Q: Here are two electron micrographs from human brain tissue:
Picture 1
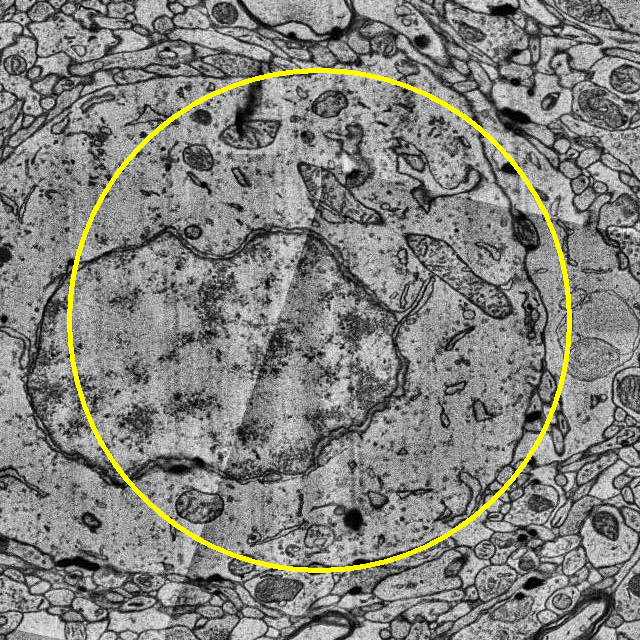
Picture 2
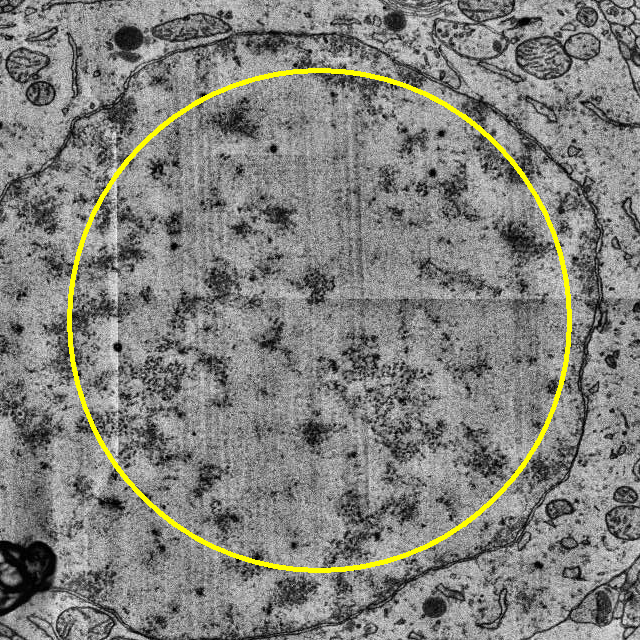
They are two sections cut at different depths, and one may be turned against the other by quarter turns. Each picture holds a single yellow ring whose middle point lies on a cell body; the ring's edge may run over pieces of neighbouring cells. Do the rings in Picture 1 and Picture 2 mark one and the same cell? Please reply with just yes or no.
yes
